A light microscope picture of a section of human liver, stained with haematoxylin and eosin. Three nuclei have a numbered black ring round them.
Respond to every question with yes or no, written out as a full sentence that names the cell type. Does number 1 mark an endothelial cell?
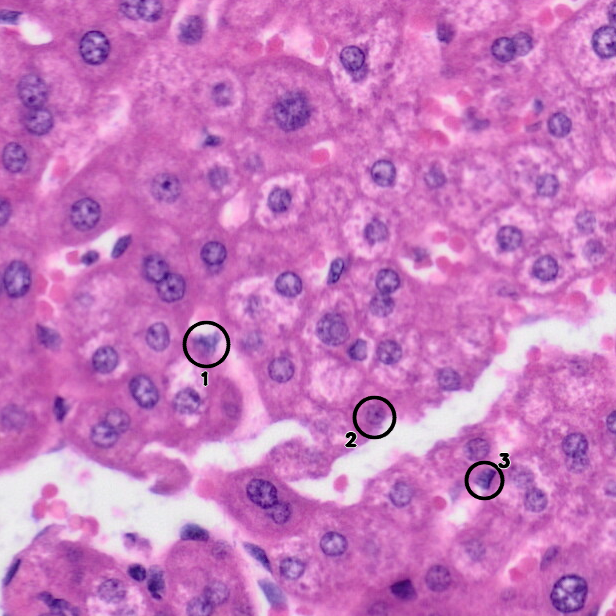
Yes, among the marked cells, the one with number 1 is an endothelial cell.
